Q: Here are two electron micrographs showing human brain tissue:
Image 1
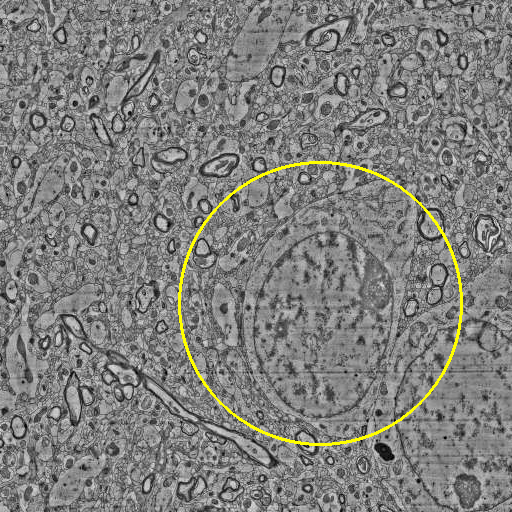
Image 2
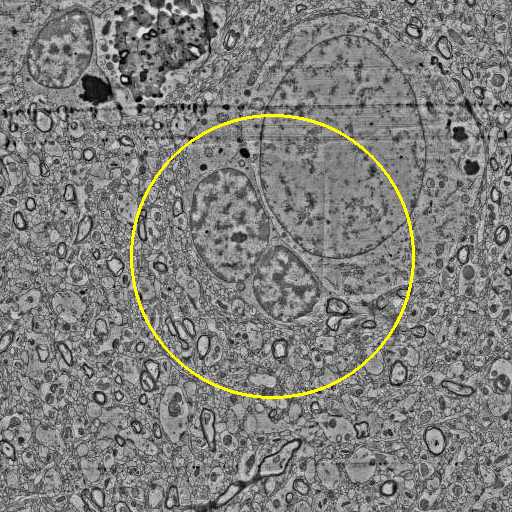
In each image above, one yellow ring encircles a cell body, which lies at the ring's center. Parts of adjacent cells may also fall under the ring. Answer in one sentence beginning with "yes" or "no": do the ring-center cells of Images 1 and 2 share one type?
No, in Images 1 and 2, the ring-center cells are of two types.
